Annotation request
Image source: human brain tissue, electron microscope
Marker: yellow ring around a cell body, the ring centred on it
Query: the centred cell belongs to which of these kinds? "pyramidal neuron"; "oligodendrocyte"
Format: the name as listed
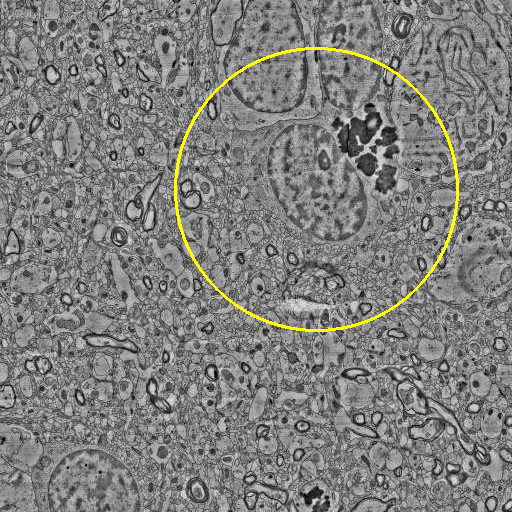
oligodendrocyte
